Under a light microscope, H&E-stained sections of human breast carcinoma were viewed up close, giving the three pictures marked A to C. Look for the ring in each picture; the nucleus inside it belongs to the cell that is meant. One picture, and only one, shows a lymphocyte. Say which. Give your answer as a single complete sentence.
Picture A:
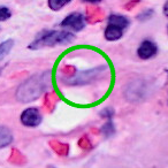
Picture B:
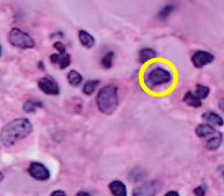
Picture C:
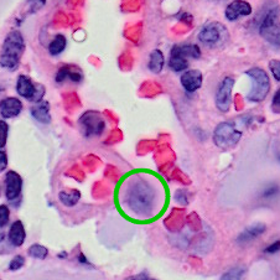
The lymphocyte is the one in picture B.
